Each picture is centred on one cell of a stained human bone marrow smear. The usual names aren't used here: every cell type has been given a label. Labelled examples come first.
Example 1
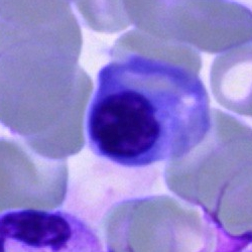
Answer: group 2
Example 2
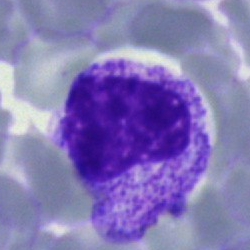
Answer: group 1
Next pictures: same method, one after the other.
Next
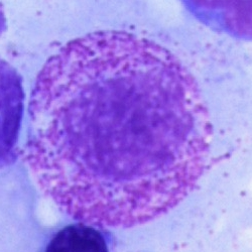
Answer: group 1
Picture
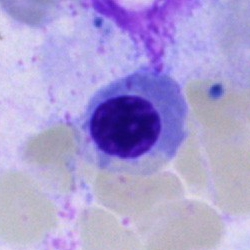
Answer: group 2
